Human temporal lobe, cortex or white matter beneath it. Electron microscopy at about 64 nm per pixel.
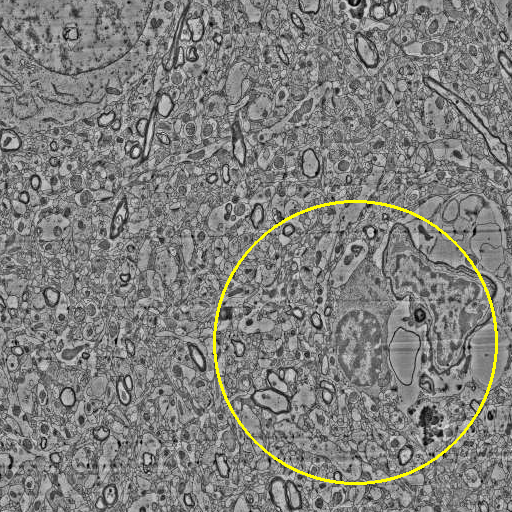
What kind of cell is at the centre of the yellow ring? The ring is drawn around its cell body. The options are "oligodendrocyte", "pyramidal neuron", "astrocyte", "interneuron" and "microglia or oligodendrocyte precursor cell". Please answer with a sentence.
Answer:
The yellow ring marks the cell body of an oligodendrocyte.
